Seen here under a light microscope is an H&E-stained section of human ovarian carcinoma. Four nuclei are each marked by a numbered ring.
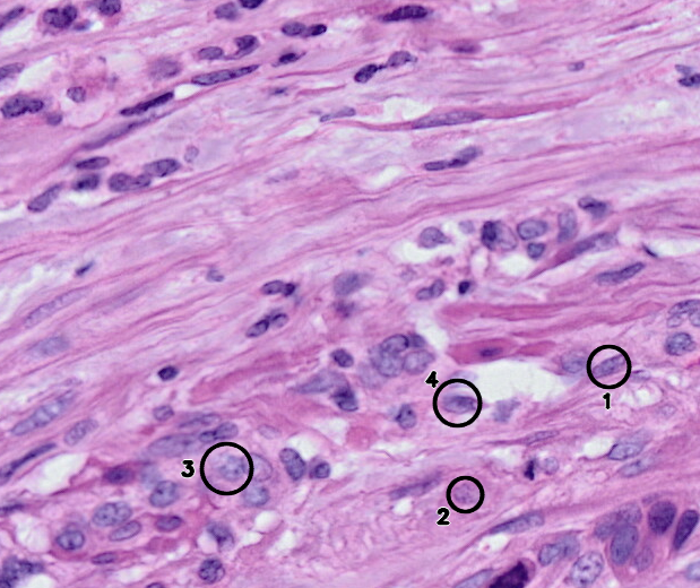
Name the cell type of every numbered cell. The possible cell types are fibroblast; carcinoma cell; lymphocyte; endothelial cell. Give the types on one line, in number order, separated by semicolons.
fibroblast; fibroblast; endothelial cell; fibroblast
